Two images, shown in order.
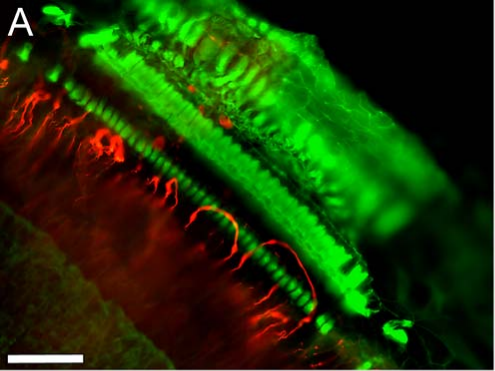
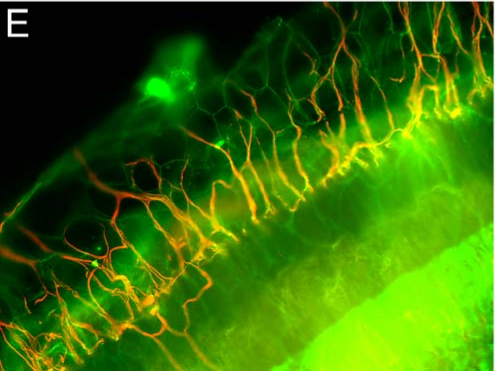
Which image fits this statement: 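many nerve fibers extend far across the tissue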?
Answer: The second image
